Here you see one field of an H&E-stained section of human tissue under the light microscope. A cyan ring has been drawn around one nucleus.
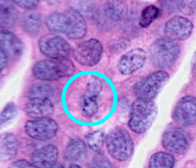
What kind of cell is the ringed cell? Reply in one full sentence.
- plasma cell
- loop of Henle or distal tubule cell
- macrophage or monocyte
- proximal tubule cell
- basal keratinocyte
Cell type answer for this item: the ringed cell is a macrophage or monocyte.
